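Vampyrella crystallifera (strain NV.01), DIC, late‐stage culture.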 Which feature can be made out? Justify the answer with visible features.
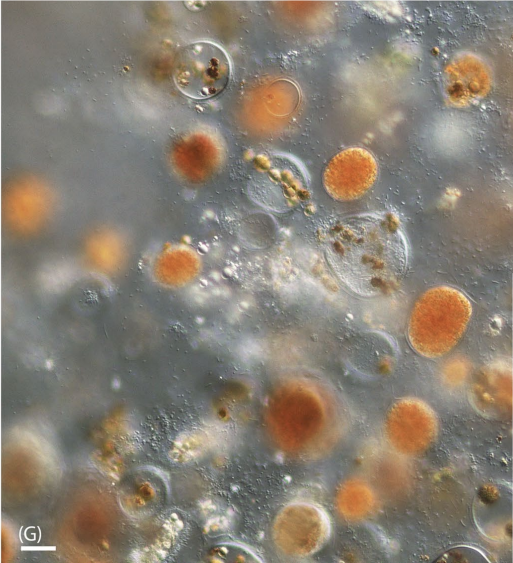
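Many orange round cysts lie scattered in a layer of debris and particles. Some empty transparent cyst walls lie among them. That points to this answer: Biofilm.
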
